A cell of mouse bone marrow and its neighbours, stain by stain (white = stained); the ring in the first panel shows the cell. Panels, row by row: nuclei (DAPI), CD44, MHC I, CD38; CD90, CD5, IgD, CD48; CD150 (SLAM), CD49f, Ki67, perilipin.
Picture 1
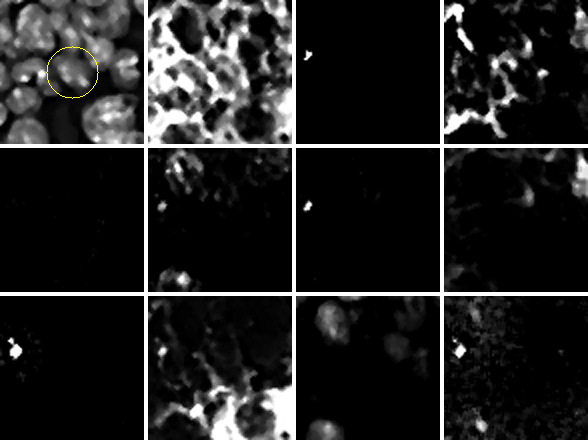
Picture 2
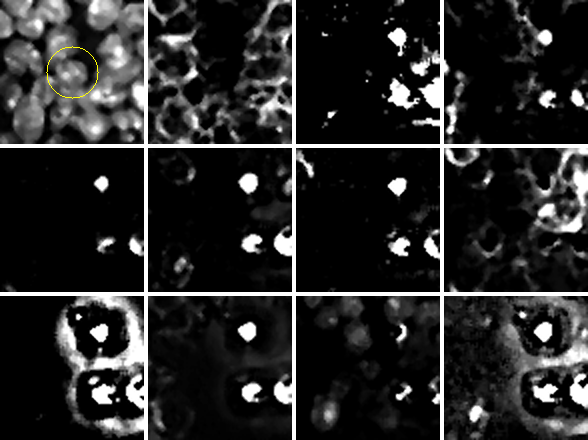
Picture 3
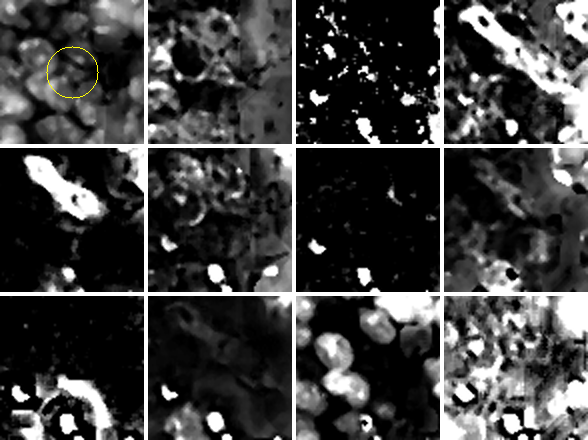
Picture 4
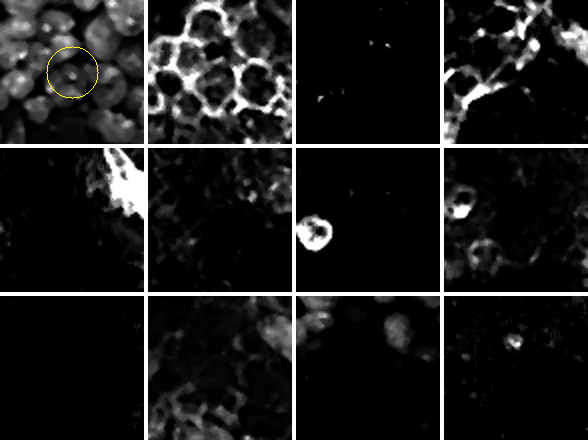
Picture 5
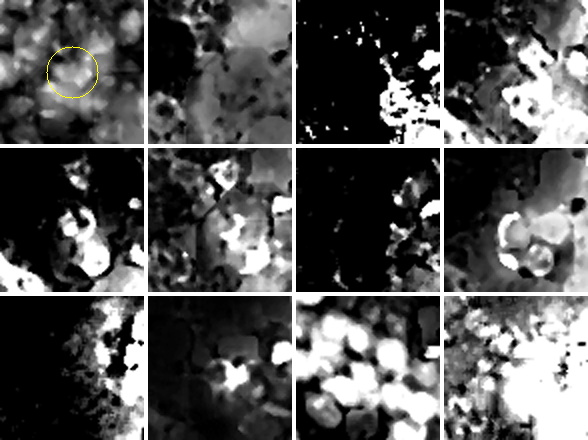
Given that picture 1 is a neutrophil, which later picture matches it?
4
